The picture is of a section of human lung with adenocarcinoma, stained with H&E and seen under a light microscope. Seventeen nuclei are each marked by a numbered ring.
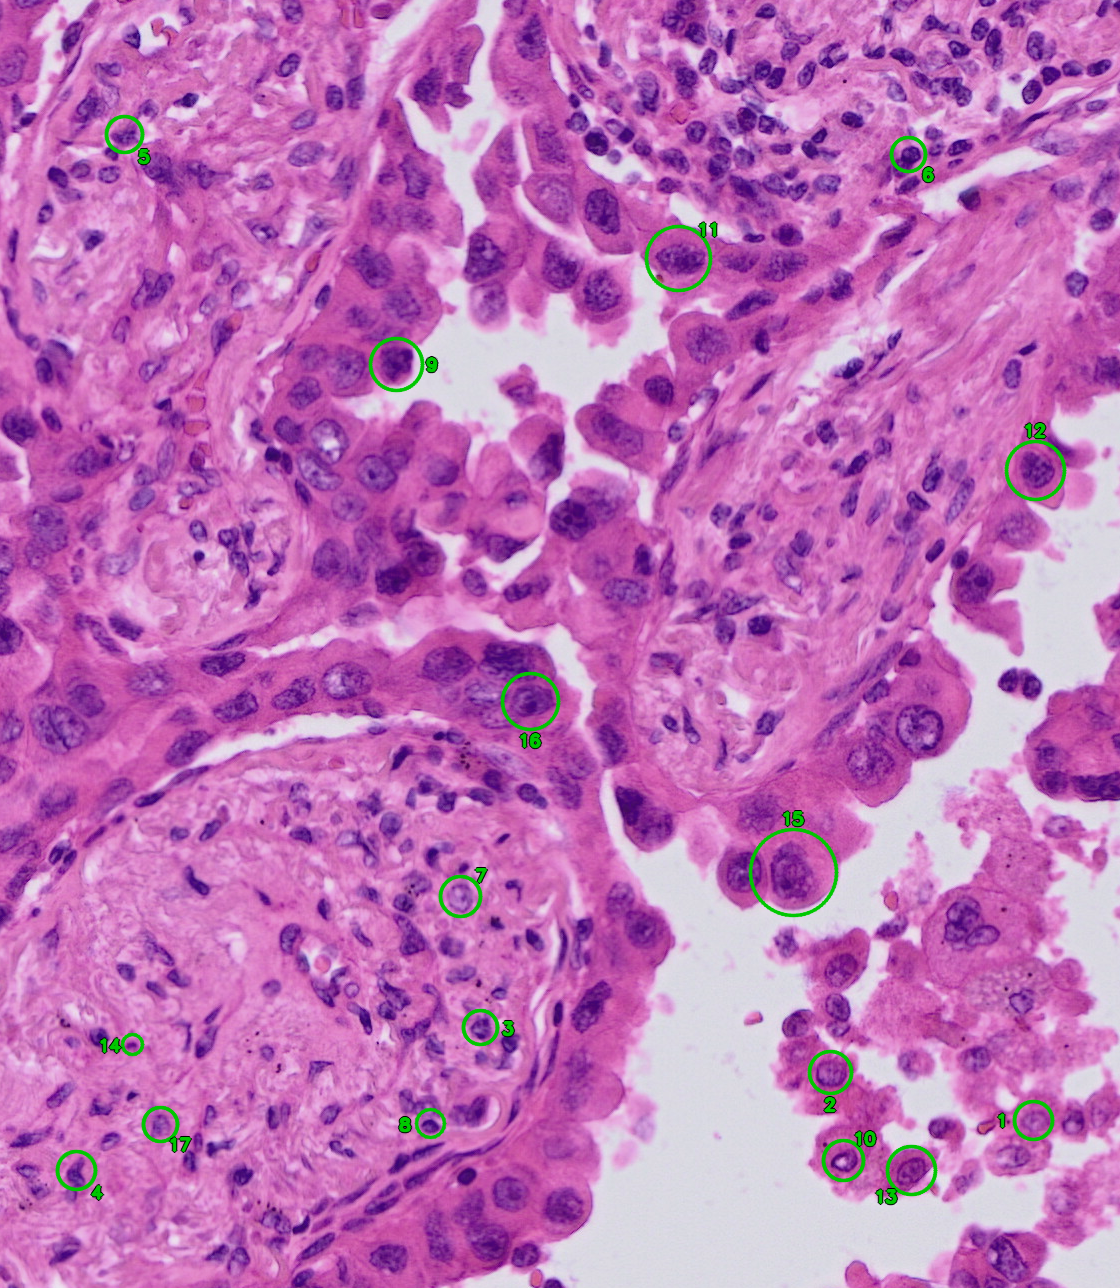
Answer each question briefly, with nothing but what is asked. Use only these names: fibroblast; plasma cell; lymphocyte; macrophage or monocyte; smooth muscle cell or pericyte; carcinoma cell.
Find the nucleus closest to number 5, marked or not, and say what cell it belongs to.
lymphocyte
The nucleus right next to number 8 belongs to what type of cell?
fibroblast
